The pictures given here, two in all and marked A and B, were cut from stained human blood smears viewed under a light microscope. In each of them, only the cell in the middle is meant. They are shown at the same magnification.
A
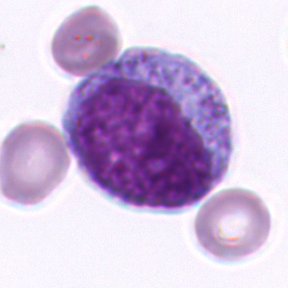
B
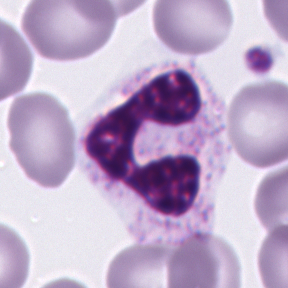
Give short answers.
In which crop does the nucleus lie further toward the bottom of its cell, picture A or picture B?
A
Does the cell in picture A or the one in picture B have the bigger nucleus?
A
